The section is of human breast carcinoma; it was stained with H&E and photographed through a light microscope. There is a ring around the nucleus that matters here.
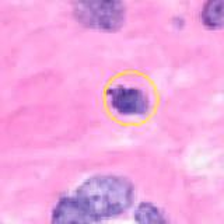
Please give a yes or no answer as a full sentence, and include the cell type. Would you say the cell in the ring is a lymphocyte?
Yes, a lymphocyte is what the cell in the ring represents in this tissue.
